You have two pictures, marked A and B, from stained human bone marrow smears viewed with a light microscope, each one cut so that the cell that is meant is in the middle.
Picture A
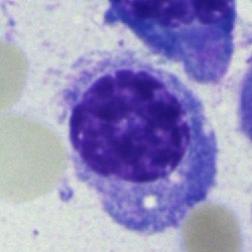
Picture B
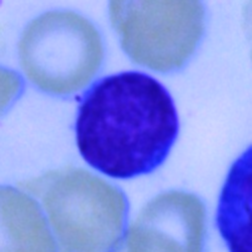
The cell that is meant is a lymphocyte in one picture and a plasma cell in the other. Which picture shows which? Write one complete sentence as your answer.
Picture A shows a plasma cell and picture B shows a lymphocyte.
